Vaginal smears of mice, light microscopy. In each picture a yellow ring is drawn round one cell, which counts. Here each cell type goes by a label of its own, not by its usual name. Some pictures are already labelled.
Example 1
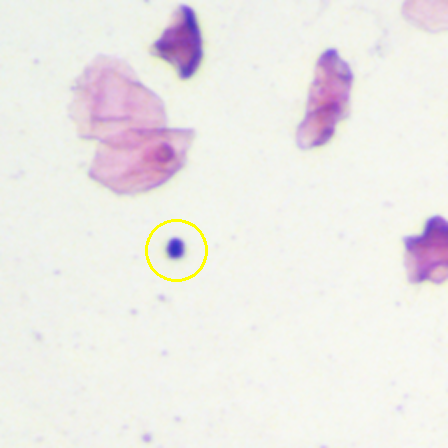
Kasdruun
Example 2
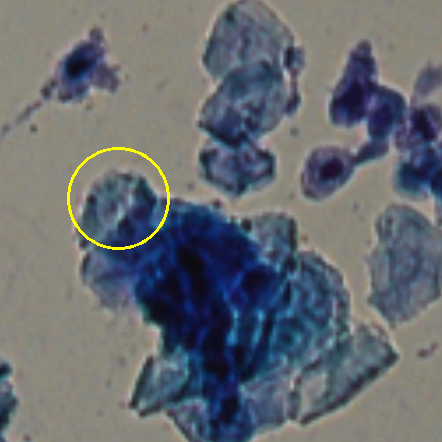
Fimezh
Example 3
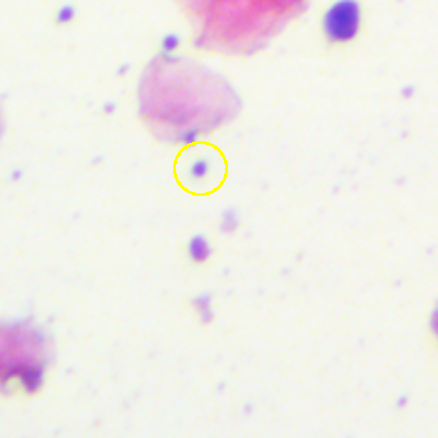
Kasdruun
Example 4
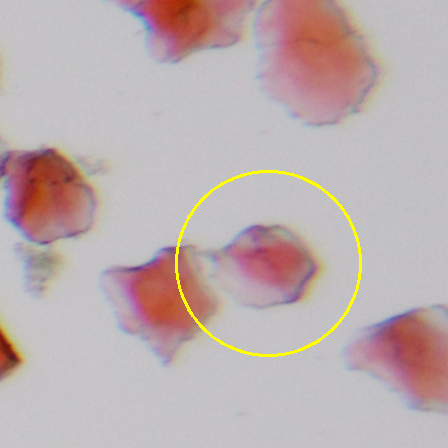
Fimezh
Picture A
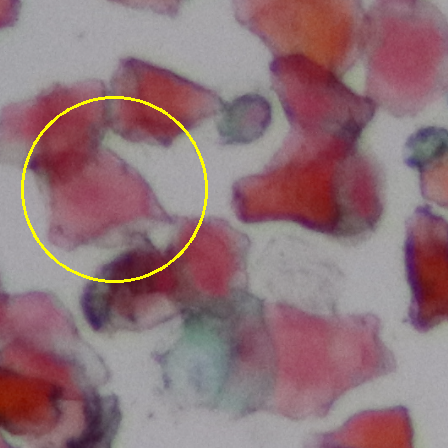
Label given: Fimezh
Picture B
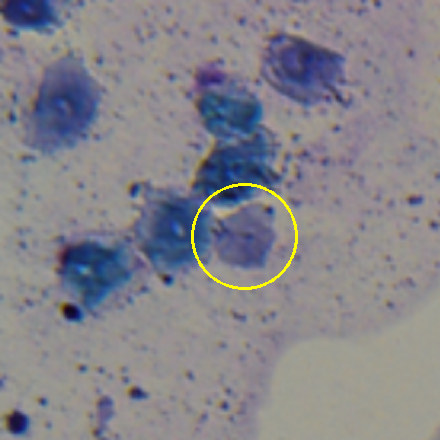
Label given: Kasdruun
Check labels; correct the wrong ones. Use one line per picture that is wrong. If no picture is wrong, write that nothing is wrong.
B: not Kasdruun but Fimezh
